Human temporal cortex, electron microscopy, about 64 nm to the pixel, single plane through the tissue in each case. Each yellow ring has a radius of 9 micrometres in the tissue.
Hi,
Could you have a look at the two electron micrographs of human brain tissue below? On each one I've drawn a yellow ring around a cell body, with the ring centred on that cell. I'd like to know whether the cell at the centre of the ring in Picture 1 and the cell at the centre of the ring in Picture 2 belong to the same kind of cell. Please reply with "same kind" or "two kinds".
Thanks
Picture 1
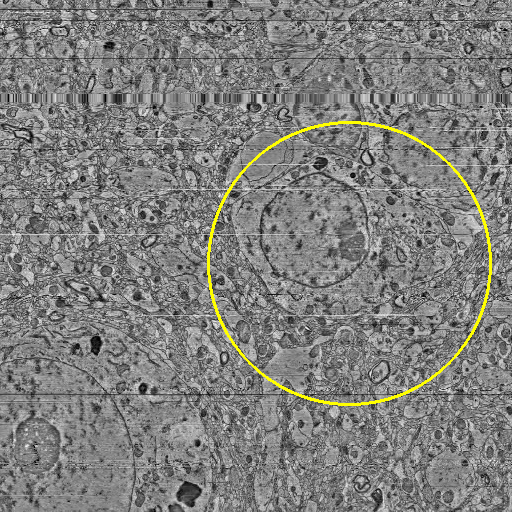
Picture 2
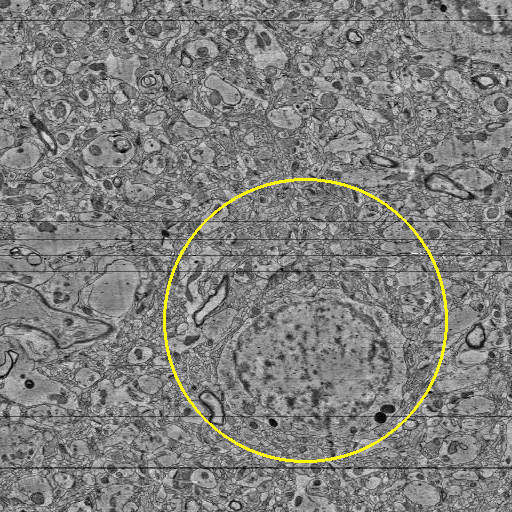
two kinds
